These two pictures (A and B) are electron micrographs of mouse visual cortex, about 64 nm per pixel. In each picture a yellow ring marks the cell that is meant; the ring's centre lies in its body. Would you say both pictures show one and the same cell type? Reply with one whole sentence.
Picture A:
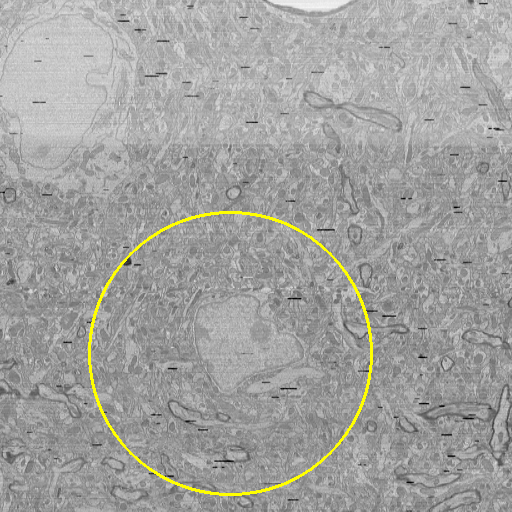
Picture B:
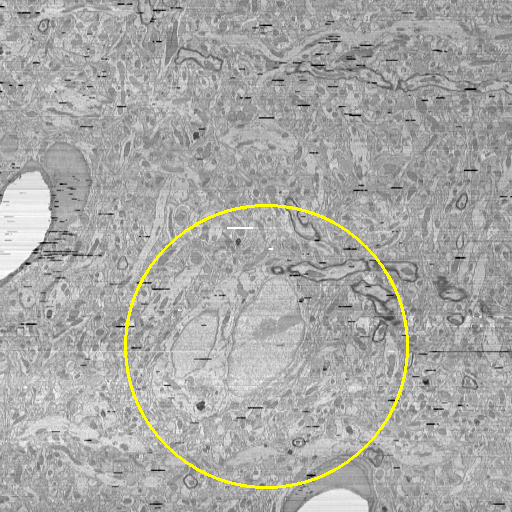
Yes, both cells are oligodendrocyte precursor cells.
